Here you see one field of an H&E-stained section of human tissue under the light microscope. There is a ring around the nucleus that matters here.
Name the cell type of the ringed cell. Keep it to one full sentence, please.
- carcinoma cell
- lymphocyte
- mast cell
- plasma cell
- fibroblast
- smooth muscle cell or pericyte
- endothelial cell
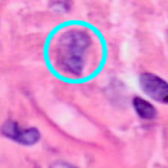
To be brief about it, the ringed cell is a fibroblast.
